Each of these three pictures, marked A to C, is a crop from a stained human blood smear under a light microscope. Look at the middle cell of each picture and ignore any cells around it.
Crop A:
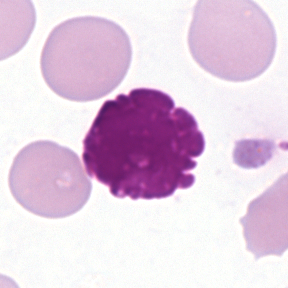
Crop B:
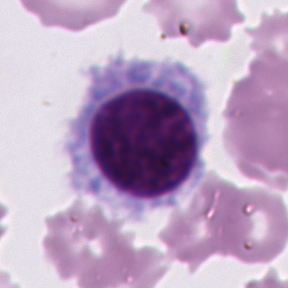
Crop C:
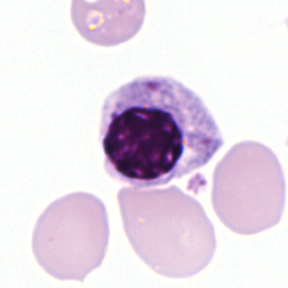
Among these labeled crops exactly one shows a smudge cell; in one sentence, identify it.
Crop A is the one that shows a smudge cell.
